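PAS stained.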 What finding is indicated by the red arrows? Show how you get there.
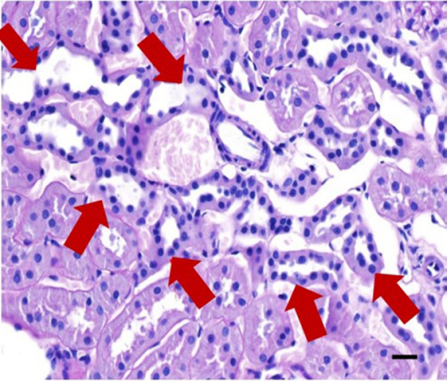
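Tubular dilatation. The arrowed tubules have wide, open lumens. The epithelium lining these lumens is thin and flattened. Many of the lumens are pale and empty.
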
